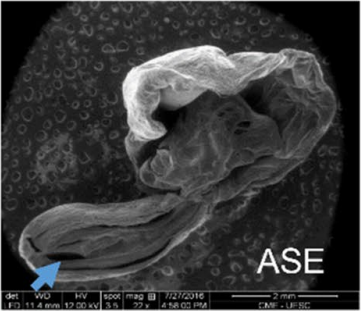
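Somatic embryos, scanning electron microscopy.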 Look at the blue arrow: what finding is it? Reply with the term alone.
Cavities formation.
